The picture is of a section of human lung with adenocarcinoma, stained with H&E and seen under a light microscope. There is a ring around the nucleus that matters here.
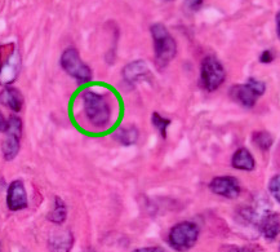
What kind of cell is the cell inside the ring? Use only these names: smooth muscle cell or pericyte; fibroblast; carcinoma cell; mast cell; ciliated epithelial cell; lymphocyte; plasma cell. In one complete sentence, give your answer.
Students should answer that the cell inside the ring is a plasma cell.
